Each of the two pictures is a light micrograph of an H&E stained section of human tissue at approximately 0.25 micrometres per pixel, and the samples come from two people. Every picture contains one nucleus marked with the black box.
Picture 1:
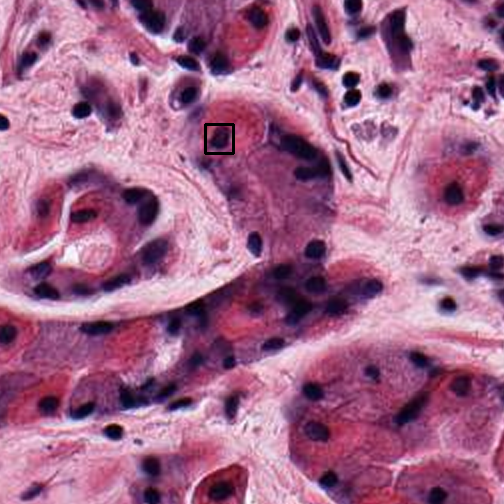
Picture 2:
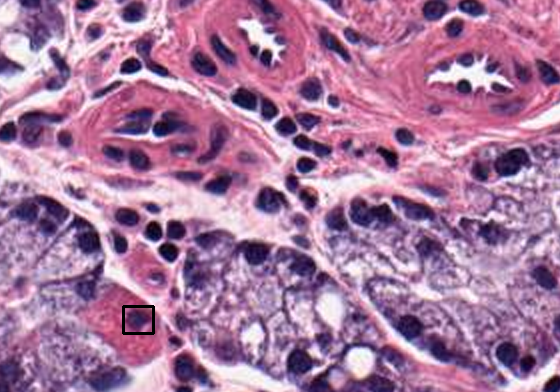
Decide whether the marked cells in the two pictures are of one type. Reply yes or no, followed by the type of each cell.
Yes, both are parietal cells.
